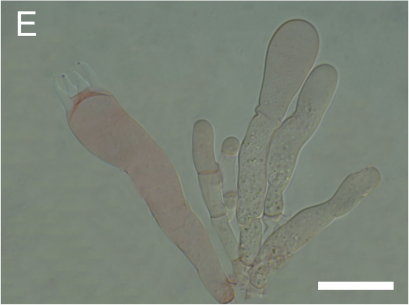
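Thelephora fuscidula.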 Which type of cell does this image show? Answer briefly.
Basidia and basidioles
